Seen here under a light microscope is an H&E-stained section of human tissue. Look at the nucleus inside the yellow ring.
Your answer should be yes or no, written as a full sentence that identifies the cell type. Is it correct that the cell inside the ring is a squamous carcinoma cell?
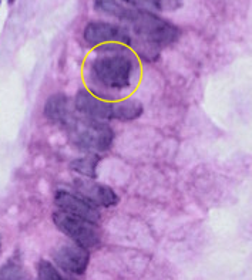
No, the cell inside the ring is termed a secretory epithelial cell, not a squamous carcinoma cell.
